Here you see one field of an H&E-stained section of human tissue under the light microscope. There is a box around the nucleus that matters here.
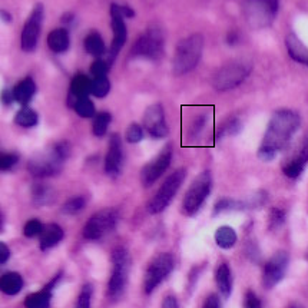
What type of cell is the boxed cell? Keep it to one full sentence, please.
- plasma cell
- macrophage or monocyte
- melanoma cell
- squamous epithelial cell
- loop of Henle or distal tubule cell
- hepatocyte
So far as cell type goes, the boxed cell is a squamous epithelial cell.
